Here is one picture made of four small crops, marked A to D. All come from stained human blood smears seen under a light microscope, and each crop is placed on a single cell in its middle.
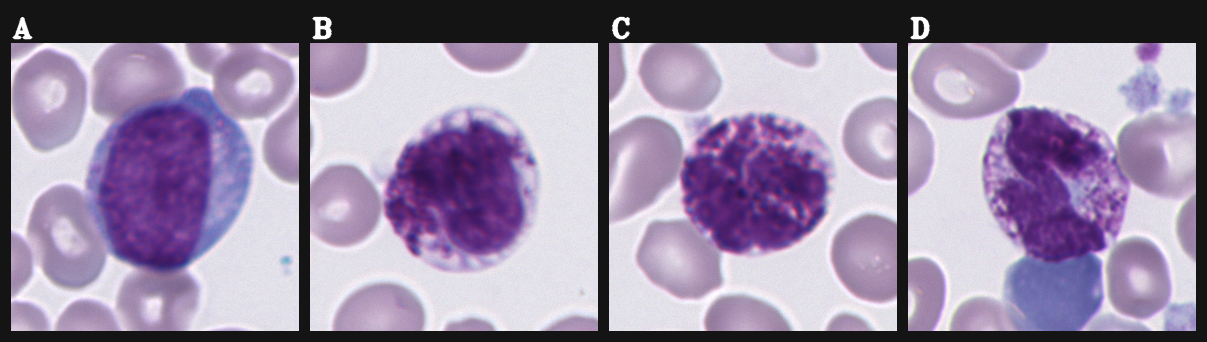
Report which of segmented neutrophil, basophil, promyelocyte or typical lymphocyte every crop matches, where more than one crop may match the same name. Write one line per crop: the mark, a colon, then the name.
A: promyelocyte
B: basophil
C: basophil
D: basophil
